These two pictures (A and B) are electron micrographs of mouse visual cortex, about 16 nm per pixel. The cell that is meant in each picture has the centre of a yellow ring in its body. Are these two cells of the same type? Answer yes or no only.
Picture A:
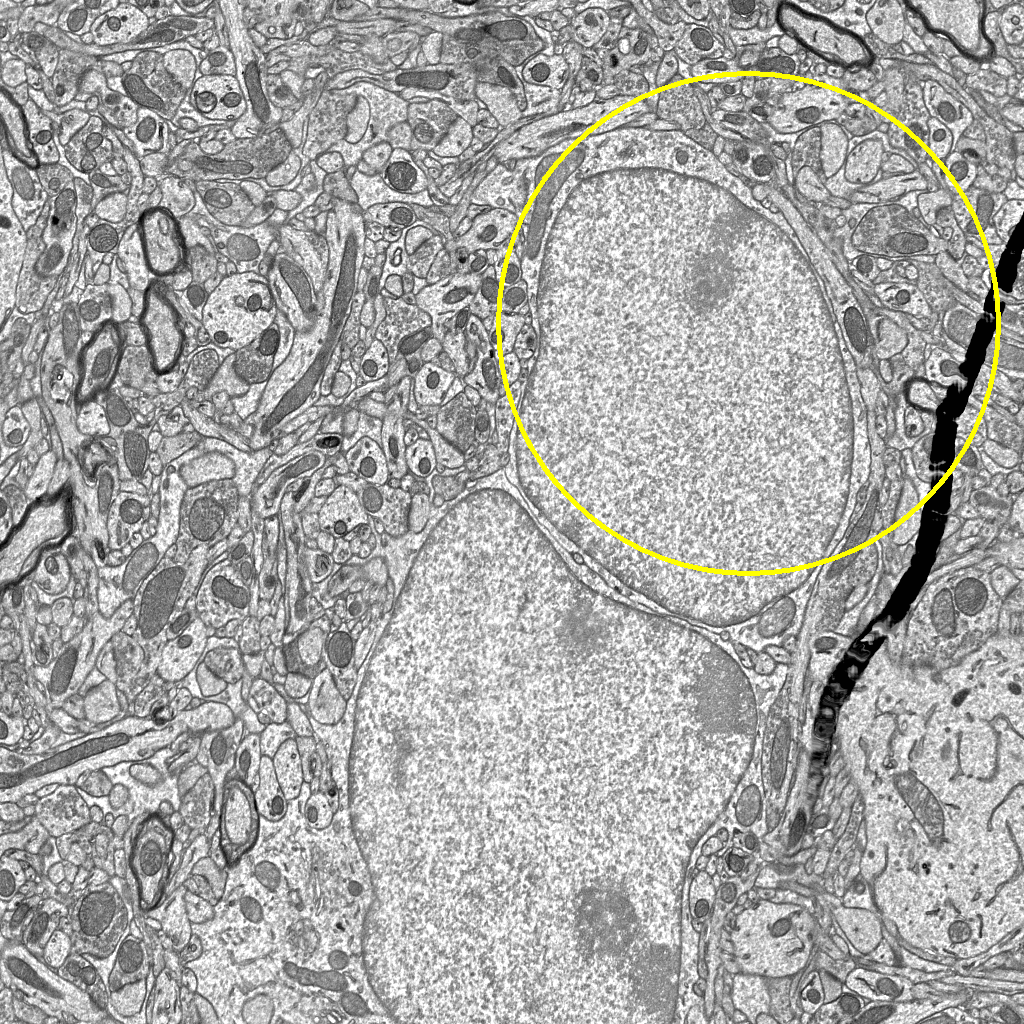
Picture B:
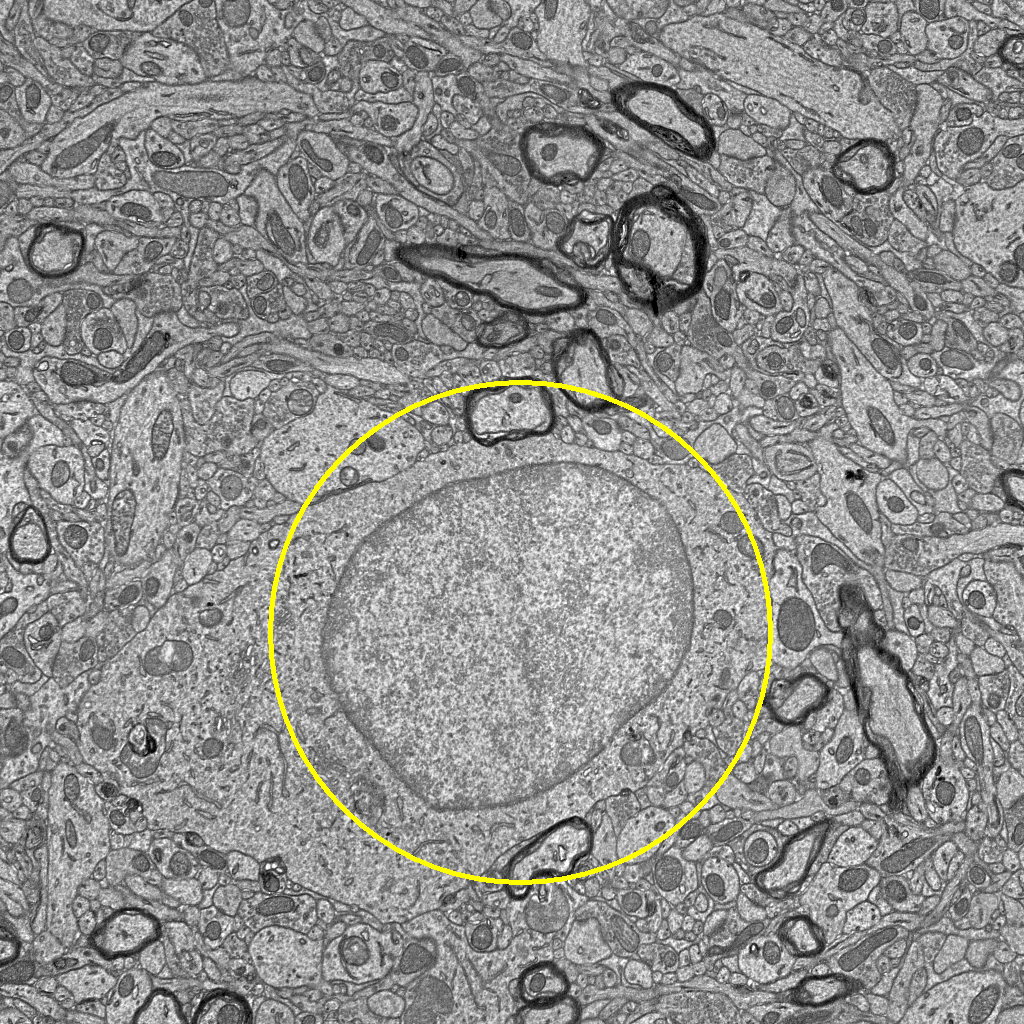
no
